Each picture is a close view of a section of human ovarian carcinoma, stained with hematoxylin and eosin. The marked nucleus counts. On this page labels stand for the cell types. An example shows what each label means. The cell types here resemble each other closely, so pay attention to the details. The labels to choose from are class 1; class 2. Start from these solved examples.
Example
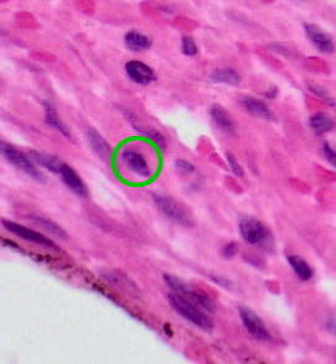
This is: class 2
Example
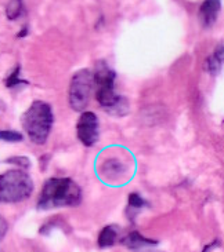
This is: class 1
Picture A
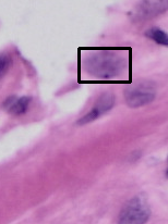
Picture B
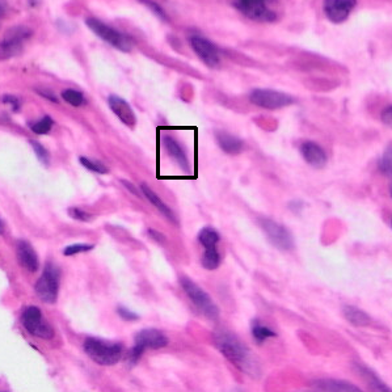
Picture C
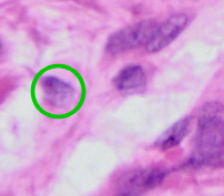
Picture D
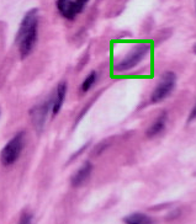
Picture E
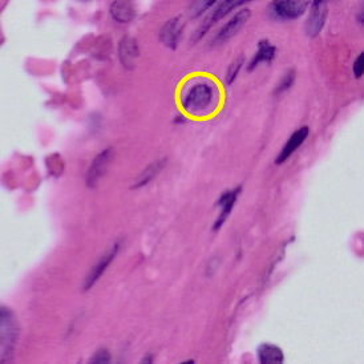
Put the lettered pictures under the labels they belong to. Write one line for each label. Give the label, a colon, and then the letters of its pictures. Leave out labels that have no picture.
class 1: E
class 2: A, B, C, D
